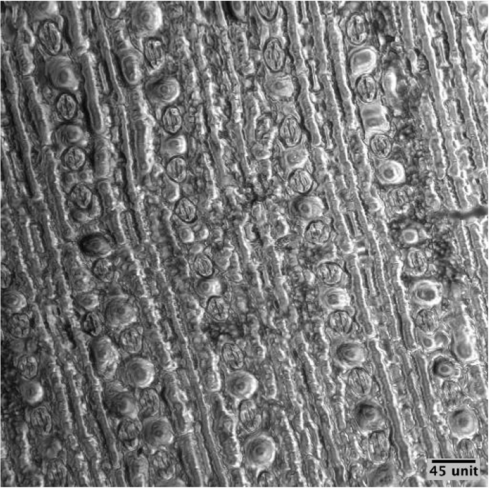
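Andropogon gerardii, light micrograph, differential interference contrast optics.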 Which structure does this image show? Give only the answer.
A: stomata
